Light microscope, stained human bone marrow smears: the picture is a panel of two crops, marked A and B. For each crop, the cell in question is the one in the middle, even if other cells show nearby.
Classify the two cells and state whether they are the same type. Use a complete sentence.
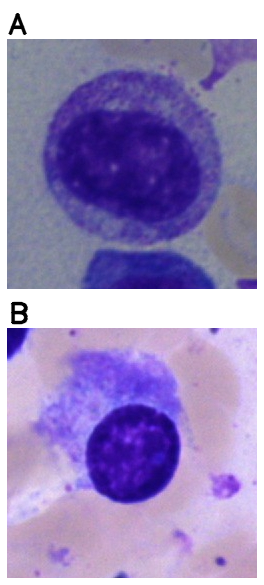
No, in crop A there is a myelocyte, and in crop B there is a plasma cell.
